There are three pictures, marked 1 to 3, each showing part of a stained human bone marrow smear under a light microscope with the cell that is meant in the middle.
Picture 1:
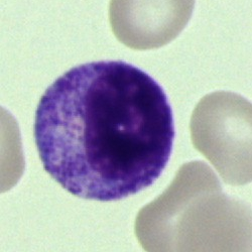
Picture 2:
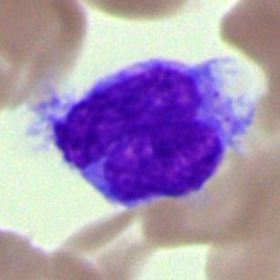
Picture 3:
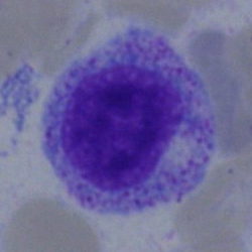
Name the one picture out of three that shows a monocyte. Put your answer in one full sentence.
The cell in picture 2 is the monocyte.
